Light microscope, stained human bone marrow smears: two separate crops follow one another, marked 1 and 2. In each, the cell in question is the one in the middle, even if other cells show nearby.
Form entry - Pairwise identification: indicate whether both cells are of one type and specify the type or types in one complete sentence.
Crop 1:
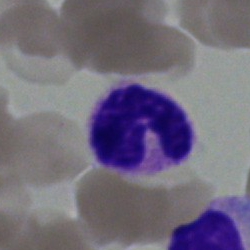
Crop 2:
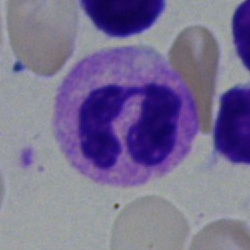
Yes, the cells in both crops are segmented neutrophils.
